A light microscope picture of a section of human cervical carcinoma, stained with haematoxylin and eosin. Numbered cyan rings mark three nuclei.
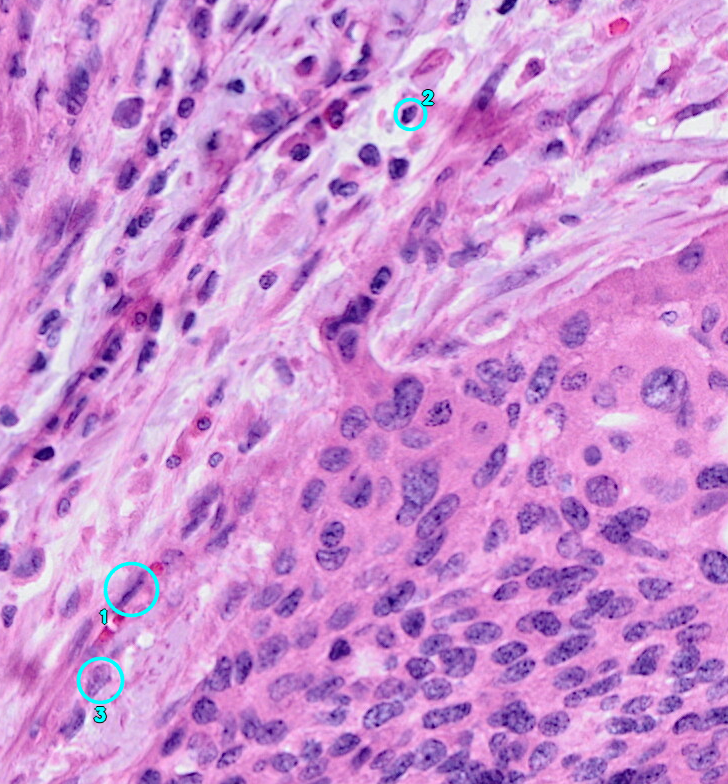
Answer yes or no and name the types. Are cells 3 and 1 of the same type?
No, cell 3 is a fibroblast and cell 1 is an endothelial cell.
